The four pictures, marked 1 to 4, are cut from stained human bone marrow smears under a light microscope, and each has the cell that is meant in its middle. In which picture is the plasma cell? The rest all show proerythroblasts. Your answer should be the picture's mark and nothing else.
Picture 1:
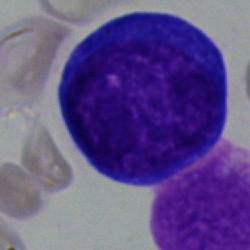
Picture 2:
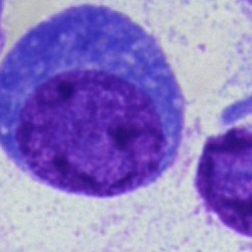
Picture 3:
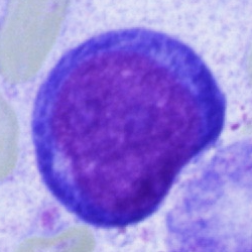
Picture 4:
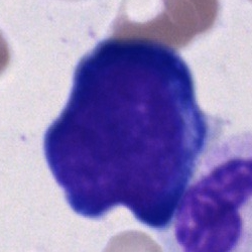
2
